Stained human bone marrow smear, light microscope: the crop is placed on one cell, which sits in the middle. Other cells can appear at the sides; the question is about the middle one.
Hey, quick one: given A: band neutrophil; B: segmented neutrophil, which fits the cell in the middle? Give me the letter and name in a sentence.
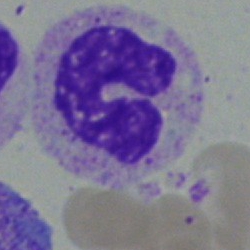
The central cell of the crop is a band neutrophil, which makes A the correct option.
